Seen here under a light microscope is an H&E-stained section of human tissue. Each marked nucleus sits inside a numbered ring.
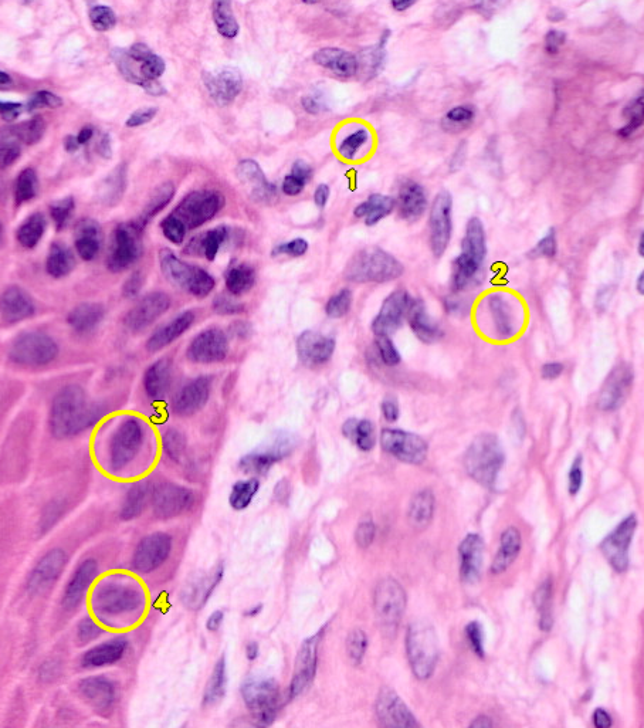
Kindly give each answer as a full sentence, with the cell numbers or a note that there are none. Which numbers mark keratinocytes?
In this section, the cells labelled 3 and 4 are keratinocytes.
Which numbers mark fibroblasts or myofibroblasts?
Only cell 2 is a fibroblast or myofibroblast; none of the other numbered cells is.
